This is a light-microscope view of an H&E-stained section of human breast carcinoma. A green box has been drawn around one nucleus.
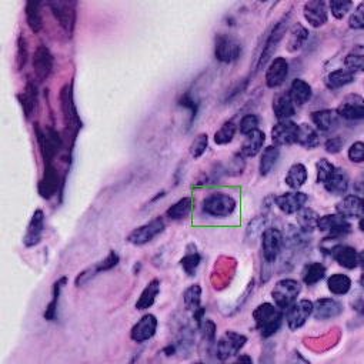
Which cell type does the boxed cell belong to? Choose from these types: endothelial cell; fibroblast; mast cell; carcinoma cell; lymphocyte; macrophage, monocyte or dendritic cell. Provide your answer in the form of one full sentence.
The cell type of the boxed cell is that of a lymphocyte.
